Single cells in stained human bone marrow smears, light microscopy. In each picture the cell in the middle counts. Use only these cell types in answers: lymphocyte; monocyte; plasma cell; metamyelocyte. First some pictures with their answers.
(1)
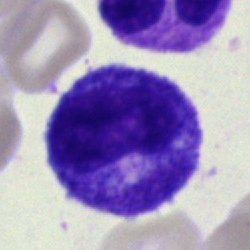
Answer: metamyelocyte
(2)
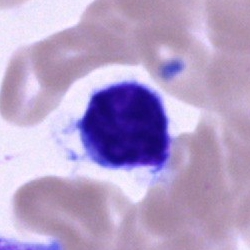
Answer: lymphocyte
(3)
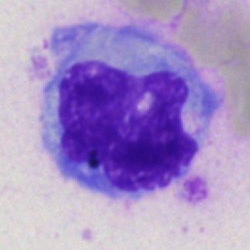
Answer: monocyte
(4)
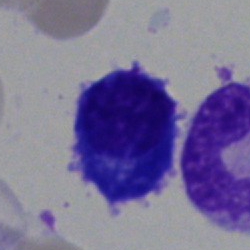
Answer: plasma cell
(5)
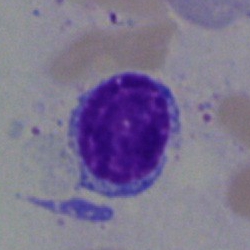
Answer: lymphocyte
